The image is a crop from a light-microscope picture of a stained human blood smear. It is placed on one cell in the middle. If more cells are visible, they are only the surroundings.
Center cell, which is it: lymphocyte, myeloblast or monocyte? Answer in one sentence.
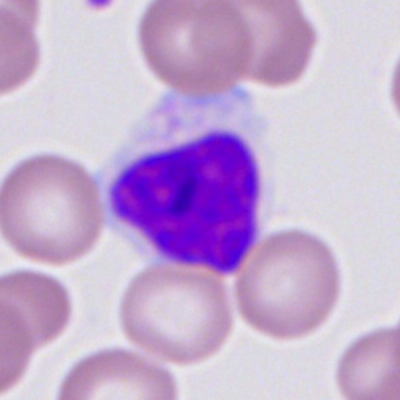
The cell found in the middle of this crop is a lymphocyte.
